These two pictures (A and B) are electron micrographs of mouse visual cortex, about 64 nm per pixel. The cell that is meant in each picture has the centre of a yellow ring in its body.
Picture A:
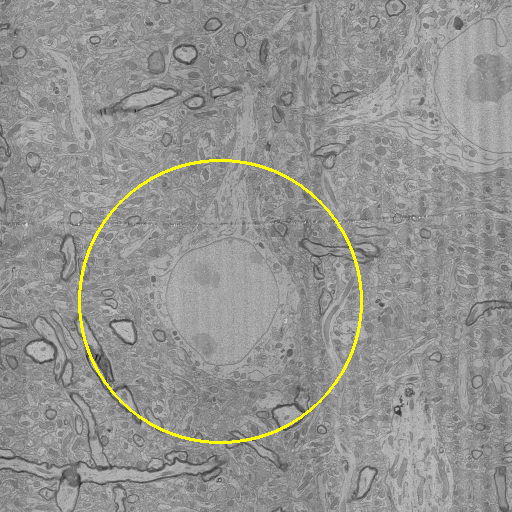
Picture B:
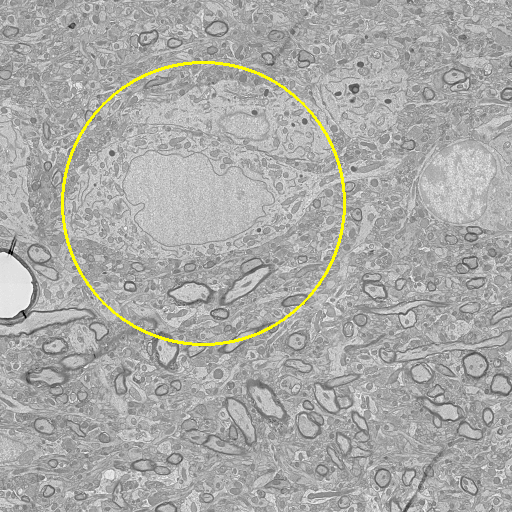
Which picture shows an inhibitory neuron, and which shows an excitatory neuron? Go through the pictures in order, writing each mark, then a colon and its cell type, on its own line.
A: excitatory neuron
B: inhibitory neuron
